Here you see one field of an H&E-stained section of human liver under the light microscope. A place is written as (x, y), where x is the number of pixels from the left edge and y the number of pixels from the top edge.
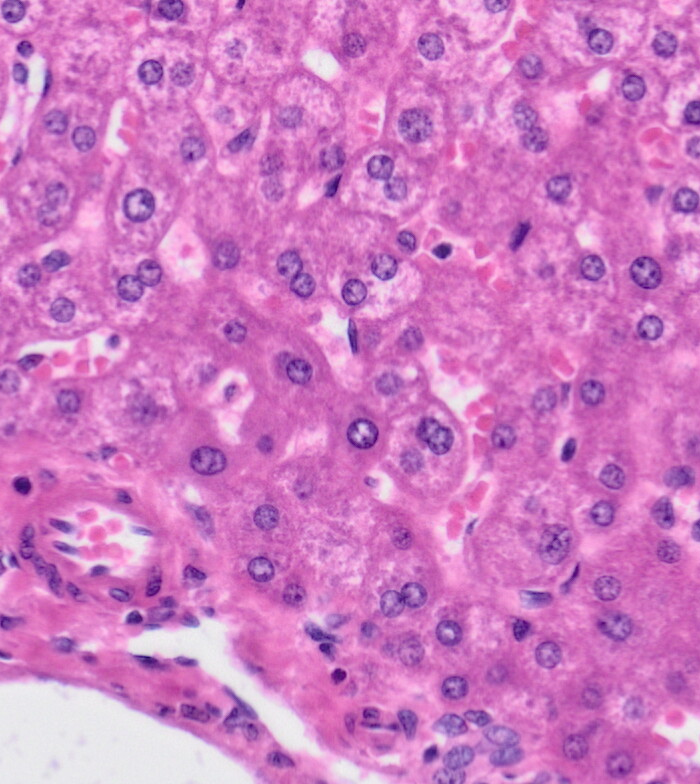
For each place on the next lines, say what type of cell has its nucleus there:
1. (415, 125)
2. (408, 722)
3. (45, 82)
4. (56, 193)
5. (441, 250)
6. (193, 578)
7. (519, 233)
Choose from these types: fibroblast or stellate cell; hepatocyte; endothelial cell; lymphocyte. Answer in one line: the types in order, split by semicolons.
hepatocyte; fibroblast or stellate cell; endothelial cell; hepatocyte; lymphocyte; fibroblast or stellate cell; fibroblast or stellate cell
